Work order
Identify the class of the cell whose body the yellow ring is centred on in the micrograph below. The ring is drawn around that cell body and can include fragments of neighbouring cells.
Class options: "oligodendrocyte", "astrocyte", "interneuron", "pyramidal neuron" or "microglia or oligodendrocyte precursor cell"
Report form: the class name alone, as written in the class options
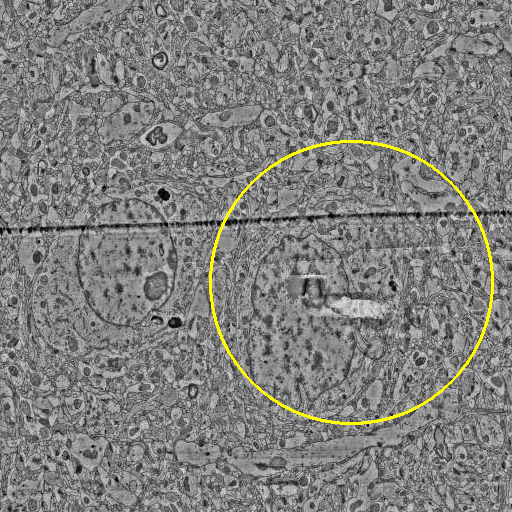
interneuron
